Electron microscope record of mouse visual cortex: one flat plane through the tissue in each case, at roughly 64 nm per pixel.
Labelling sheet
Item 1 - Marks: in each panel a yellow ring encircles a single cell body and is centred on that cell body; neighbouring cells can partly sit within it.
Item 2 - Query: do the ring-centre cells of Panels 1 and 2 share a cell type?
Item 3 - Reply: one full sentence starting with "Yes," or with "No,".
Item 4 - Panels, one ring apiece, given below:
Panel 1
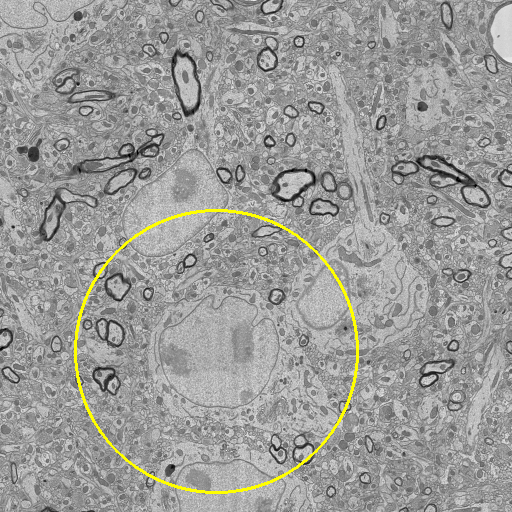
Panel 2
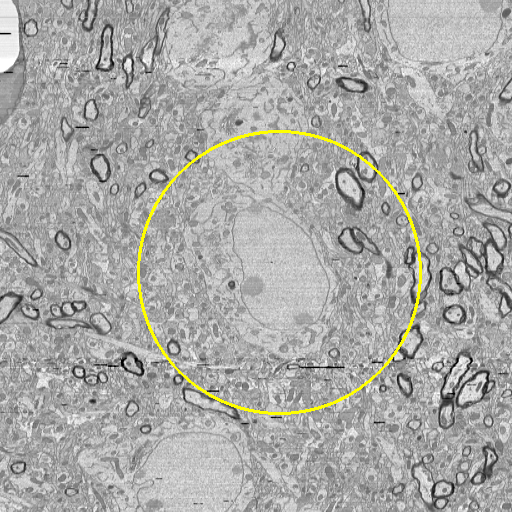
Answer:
Yes, Panel 1 and Panel 2 show one cell type at the centres of their rings.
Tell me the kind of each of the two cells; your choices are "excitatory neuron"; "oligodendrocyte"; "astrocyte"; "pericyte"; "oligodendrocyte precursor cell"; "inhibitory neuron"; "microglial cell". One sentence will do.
In the first picture and in the second, the ring is centred on an excitatory neuron.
